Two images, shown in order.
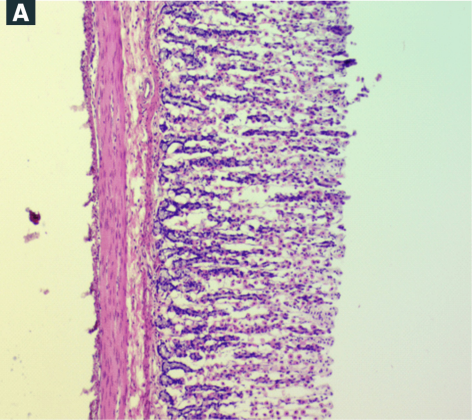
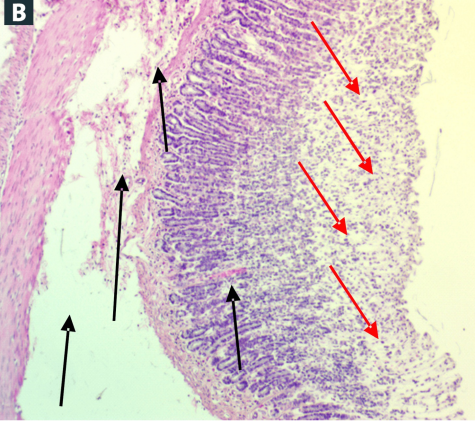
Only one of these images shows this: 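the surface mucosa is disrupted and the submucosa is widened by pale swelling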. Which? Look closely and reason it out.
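Second image: the luminal mucosa is pale and disorganized, and a wide pale space separates mucosa from muscle. First image: glands run in regular columns to the surface and the mucosa lies close to the muscle layer.
Conclusion: the second image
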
